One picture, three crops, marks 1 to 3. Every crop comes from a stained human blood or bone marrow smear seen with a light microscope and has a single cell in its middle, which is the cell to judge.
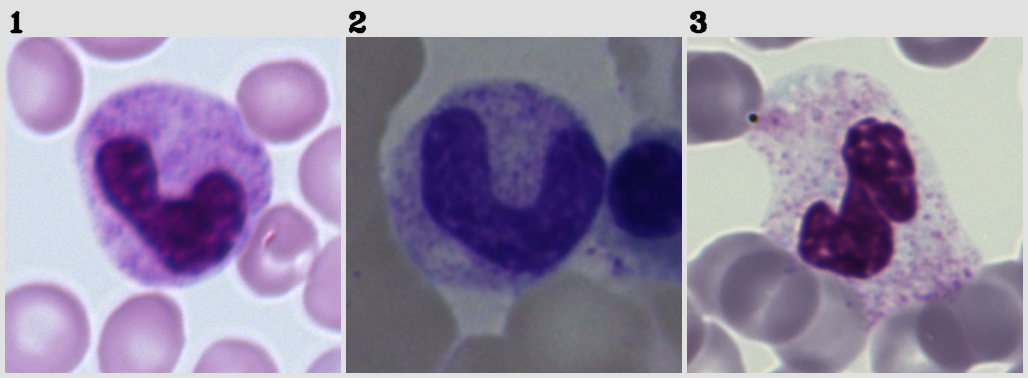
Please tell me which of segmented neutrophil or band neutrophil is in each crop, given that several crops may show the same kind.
1: segmented neutrophil
2: band neutrophil
3: segmented neutrophil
